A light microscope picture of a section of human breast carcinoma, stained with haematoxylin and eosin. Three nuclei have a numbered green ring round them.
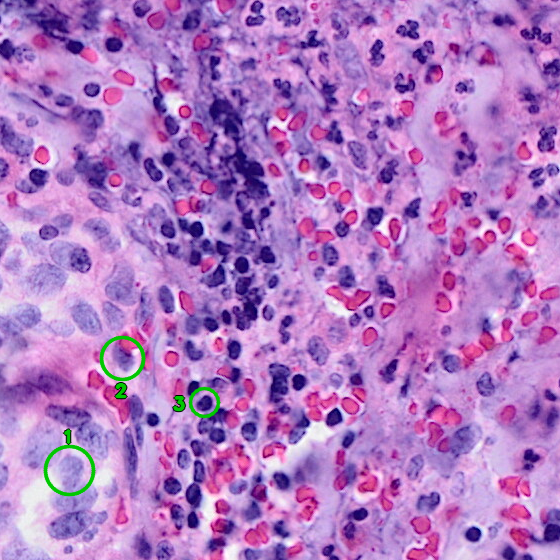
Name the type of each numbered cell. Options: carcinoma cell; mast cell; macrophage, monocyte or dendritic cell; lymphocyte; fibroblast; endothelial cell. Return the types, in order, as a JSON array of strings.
["carcinoma cell", "endothelial cell", "lymphocyte"]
